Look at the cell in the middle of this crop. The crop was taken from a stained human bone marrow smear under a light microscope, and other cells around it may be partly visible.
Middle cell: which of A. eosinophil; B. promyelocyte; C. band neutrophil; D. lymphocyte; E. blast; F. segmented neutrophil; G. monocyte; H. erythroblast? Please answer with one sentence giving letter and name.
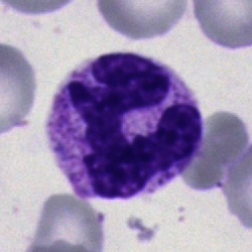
Option F correctly states that the central cell is a segmented neutrophil.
